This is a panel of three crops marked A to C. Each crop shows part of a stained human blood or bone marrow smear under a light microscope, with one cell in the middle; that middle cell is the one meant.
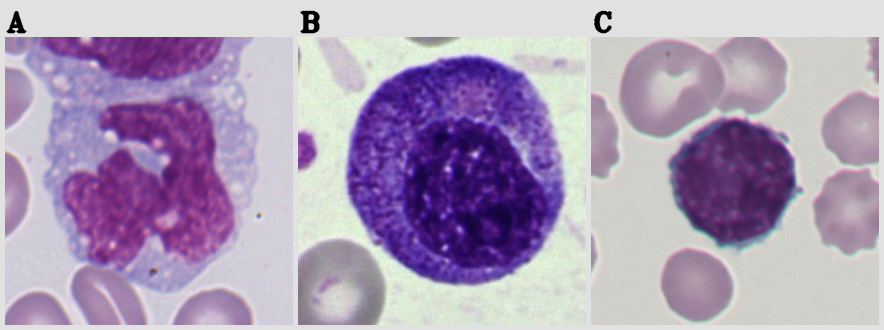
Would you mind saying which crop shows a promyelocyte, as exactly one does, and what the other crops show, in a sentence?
Crop B should be logged as a promyelocyte, while crop A is a monocyte and crop C is a lymphocyte.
